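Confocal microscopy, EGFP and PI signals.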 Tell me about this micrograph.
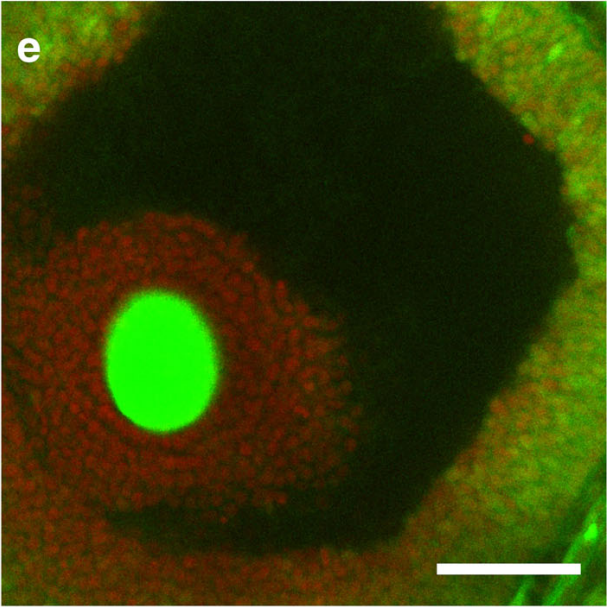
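Mature antral follicle with a large dark fluid-filled cavity occupying most of the follicle. The oocyte, a bright green oval, sits to one side within a mound of red-nucleated granulosa cells that also line the cavity. Greenish stromal tissue surrounds the follicle.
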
